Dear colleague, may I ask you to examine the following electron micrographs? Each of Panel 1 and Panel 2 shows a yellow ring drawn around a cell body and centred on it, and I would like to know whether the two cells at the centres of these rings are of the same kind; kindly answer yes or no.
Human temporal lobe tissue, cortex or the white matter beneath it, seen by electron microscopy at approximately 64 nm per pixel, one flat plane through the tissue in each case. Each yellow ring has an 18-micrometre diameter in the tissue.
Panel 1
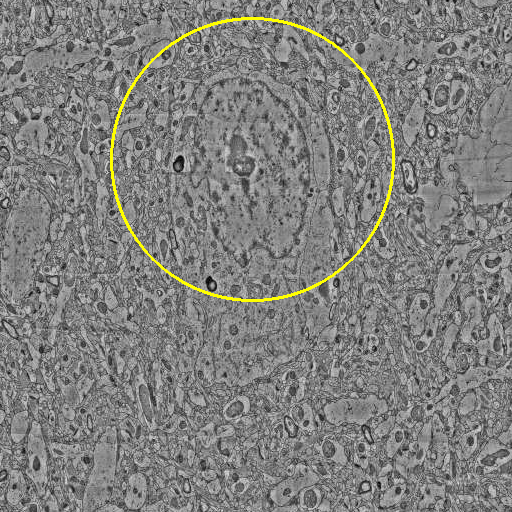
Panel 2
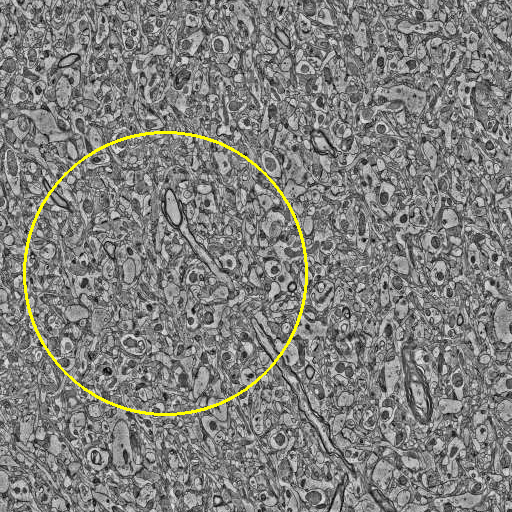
no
